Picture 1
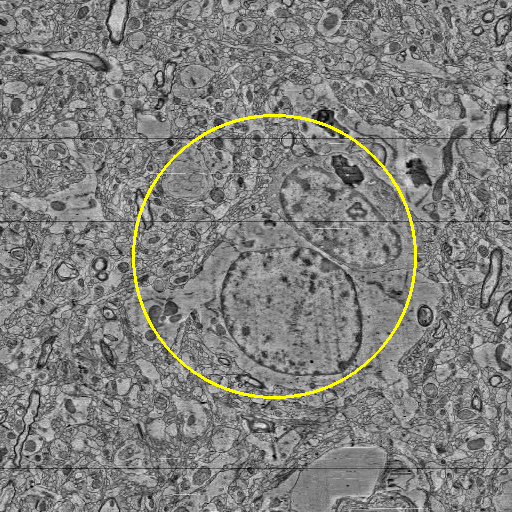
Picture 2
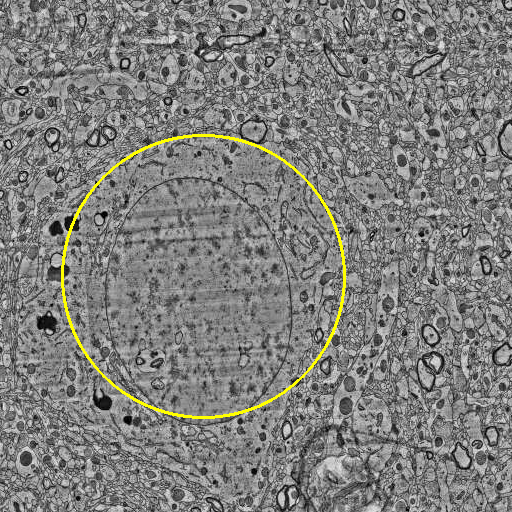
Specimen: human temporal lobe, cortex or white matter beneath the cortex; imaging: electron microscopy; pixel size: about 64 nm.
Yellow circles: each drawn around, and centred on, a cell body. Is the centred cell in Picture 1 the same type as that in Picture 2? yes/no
no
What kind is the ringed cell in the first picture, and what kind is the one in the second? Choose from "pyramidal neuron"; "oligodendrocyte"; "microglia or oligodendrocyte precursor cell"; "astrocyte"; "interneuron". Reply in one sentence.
The first cell is an astrocyte; the second is a pyramidal neuron.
